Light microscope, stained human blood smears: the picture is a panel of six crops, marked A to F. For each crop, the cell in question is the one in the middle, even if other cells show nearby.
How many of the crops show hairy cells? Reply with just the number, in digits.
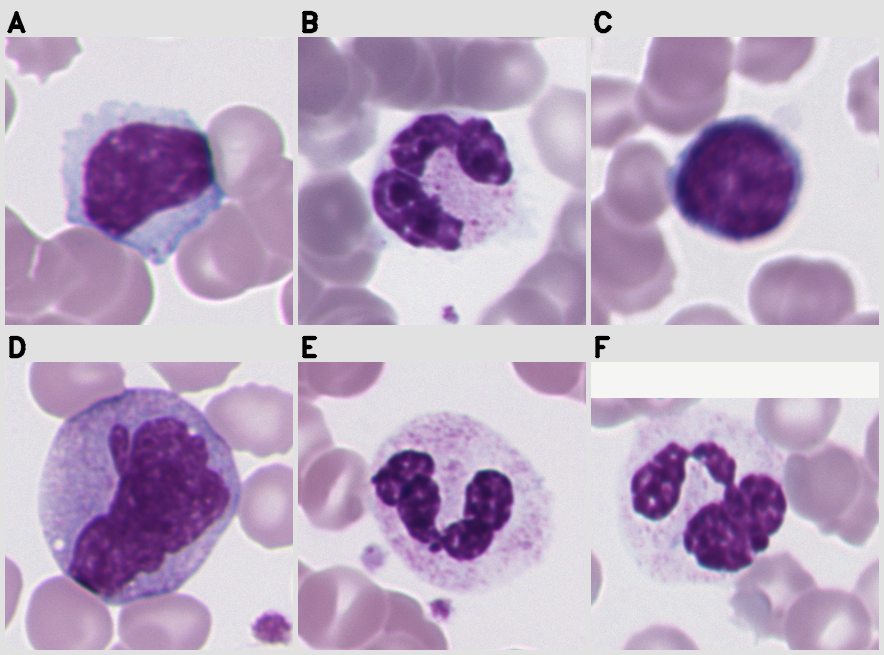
0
